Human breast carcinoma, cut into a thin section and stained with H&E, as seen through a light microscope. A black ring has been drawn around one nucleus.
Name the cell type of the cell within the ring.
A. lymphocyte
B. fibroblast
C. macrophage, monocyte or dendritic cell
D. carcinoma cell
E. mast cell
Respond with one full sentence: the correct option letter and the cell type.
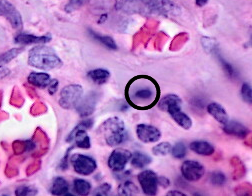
Here the correct option is A, since the cell within the ring is a lymphocyte.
